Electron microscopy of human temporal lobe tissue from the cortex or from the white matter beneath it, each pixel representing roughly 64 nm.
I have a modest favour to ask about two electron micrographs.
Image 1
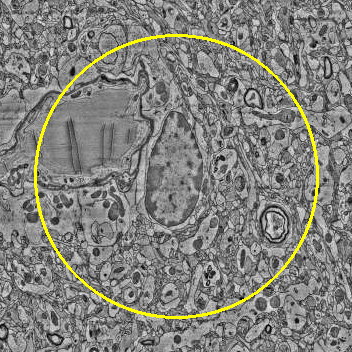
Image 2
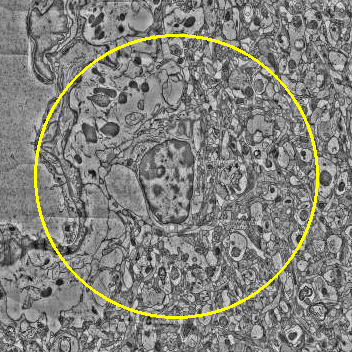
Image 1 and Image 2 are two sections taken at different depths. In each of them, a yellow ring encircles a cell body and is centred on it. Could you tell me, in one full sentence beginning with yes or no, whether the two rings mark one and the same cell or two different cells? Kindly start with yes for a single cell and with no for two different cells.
No, two different cells appear inside the two yellow rings.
